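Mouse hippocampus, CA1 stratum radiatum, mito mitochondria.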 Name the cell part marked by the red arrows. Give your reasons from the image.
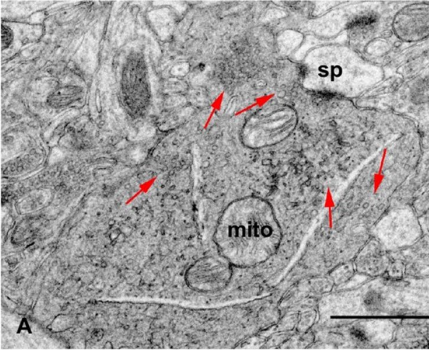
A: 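The red arrows point to groups of small round clear profiles within the swelling. The groups lie in a dense, fibrillar cytoplasm near mitochondria. That points to this answer: large clusters of presynaptic vesicles.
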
